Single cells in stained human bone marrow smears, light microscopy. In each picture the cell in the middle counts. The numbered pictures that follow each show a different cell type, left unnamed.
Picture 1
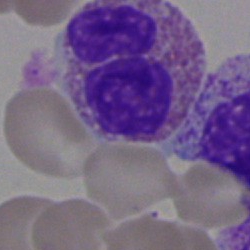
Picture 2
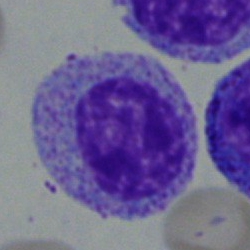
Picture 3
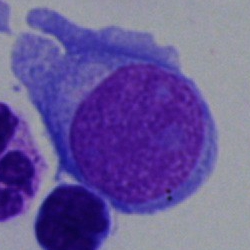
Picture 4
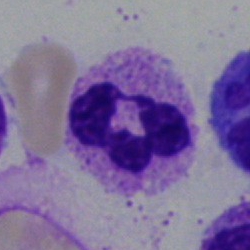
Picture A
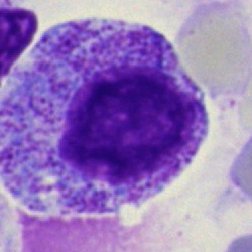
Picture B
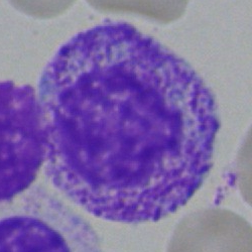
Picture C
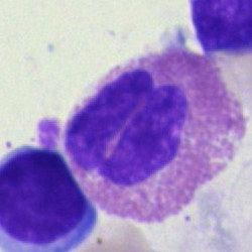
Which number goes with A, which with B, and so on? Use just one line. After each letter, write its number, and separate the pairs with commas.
A 2, B 2, C 1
